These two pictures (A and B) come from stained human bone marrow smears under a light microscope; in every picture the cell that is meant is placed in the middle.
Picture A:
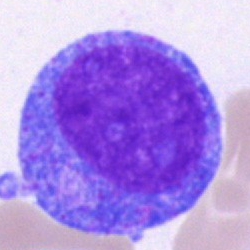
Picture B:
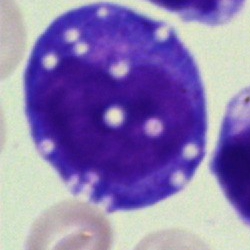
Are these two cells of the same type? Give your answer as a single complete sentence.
No, picture A shows a promyelocyte and picture B shows a blast.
